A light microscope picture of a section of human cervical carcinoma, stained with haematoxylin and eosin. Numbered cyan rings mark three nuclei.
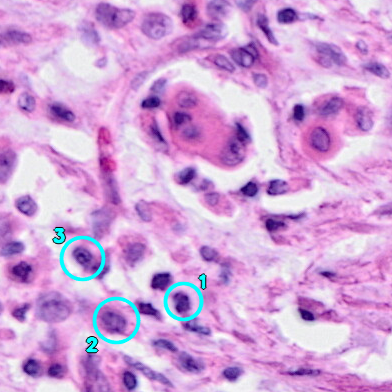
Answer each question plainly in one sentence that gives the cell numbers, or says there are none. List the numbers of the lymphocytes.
The cells numbered 1 and 3 are typed as lymphocytes.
